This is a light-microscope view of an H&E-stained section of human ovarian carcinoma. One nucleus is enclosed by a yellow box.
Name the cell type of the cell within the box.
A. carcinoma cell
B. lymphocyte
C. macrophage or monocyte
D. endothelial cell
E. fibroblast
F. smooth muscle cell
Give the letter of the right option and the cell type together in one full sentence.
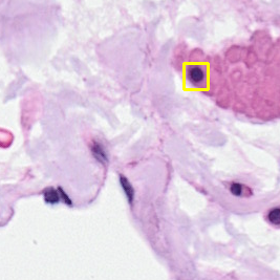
Looking at the options, pick F; the cell within the box is a smooth muscle cell.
